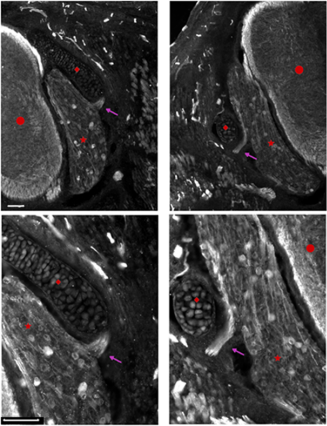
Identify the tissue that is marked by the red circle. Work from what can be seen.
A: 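Spinal cord. The circle lies on a large oval structure of densely packed fine fibres at the edge of the section. A ganglion with scattered rounded cell bodies lies beside it.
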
